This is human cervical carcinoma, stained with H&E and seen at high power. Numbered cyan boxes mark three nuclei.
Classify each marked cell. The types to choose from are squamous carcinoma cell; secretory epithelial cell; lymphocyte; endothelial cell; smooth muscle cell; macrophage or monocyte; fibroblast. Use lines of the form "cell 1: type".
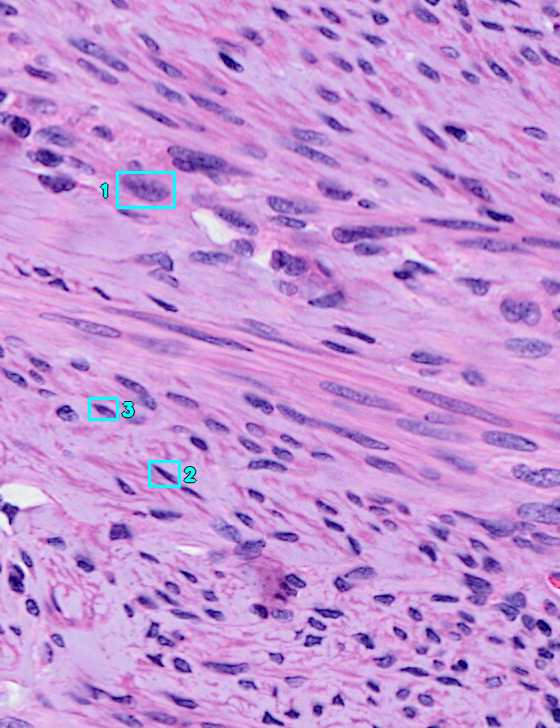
cell 1: endothelial cell
cell 2: smooth muscle cell
cell 3: smooth muscle cell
